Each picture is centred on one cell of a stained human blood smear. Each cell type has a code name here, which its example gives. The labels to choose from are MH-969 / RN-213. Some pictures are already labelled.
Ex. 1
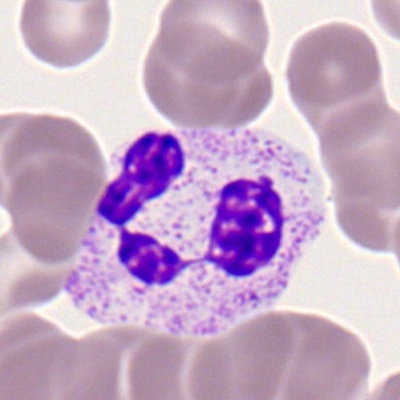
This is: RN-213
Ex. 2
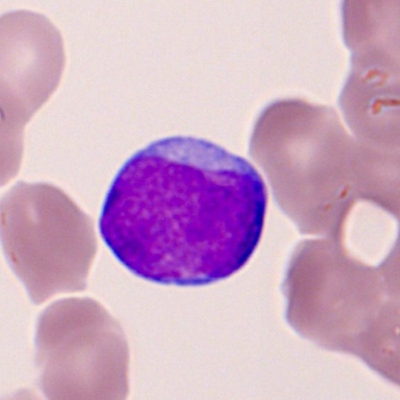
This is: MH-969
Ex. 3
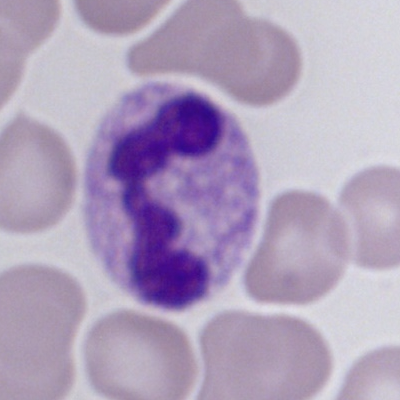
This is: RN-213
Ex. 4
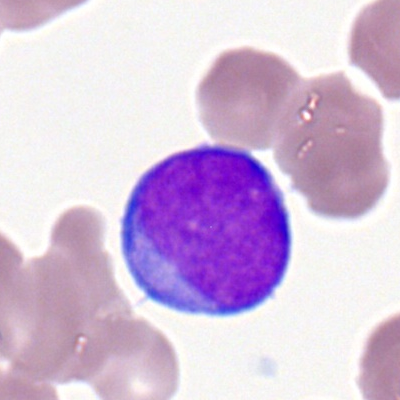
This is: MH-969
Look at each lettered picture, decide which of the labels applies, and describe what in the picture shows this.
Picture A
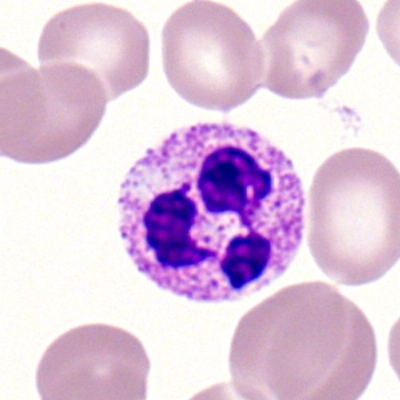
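Label: RN-213. The cytoplasm is plentiful and pale pink.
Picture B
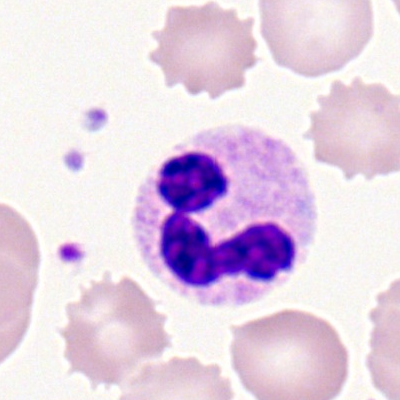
Label: RN-213. The cytoplasm is plentiful and pale pink.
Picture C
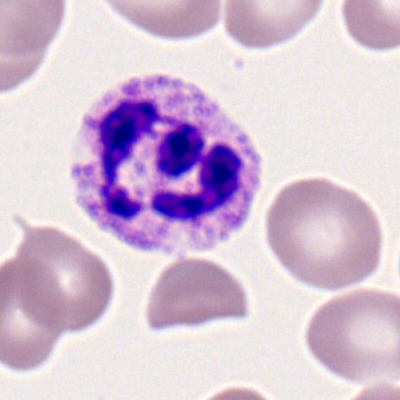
Label: RN-213. The cytoplasm is plentiful and pale pinkish-lilac.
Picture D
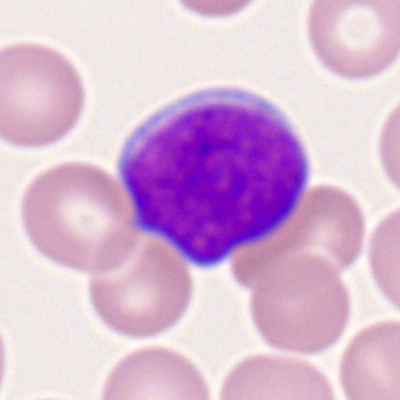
Label: MH-969. The cytoplasm forms only a thin rim around the nucleus.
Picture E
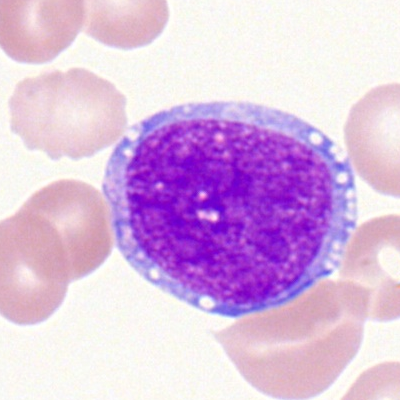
Label: MH-969. The cytoplasm forms only a narrow rim around the nucleus.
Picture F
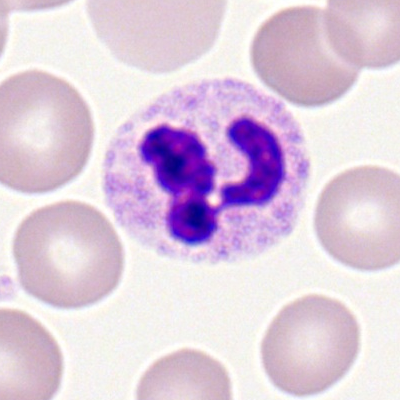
Label: RN-213. The cytoplasm is plentiful and pale pink.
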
